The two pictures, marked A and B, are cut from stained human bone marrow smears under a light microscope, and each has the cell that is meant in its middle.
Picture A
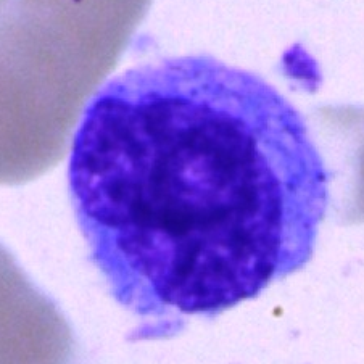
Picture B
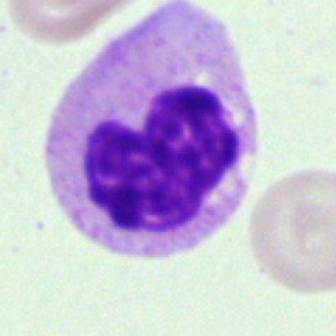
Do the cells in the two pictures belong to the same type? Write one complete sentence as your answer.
No. Picture A shows a monocyte, but picture B shows a segmented neutrophil.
